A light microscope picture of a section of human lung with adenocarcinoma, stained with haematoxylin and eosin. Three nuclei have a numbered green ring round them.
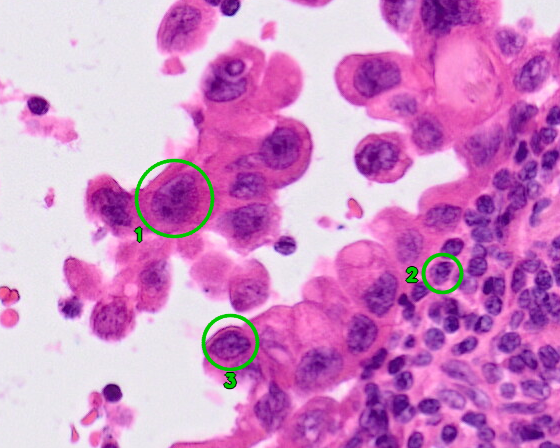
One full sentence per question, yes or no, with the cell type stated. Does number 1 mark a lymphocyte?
No, not a lymphocyte: the cell with number 1 is a carcinoma cell.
